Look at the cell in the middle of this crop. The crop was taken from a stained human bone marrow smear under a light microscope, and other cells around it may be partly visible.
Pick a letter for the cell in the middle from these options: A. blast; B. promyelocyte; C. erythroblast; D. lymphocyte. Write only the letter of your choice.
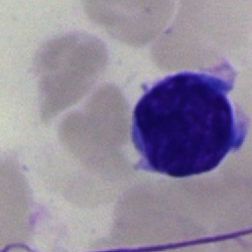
D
